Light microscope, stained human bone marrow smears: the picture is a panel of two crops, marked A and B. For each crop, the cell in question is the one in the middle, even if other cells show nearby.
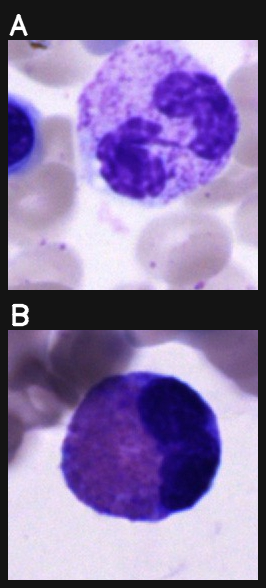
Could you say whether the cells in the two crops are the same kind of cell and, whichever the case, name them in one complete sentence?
No, crop A captures a segmented neutrophil; meanwhile crop B captures an eosinophil.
